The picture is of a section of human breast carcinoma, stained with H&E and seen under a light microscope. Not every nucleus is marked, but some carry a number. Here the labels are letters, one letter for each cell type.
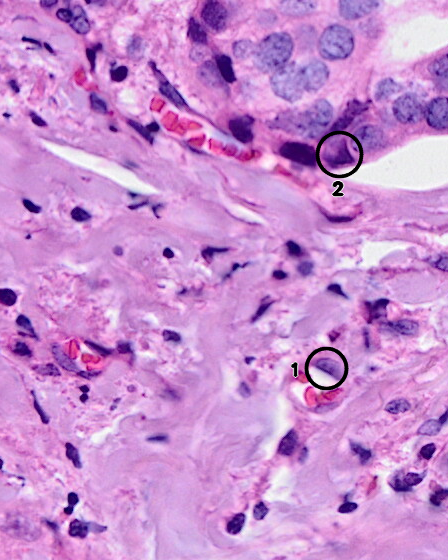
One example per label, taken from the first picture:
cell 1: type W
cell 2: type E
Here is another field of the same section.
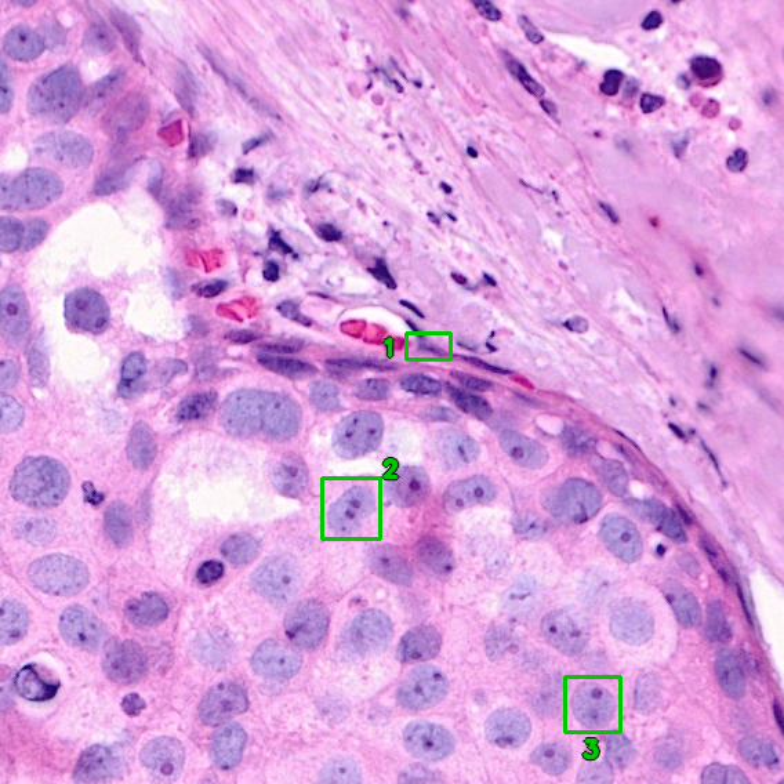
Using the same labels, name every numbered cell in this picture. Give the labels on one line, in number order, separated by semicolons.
type W; type E; type E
